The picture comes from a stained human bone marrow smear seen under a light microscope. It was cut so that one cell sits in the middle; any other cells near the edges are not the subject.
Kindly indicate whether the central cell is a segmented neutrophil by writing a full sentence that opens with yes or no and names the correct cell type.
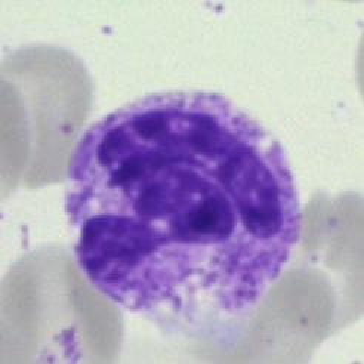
Yes, the cell at the middle of the field is to be classed as a segmented neutrophil.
